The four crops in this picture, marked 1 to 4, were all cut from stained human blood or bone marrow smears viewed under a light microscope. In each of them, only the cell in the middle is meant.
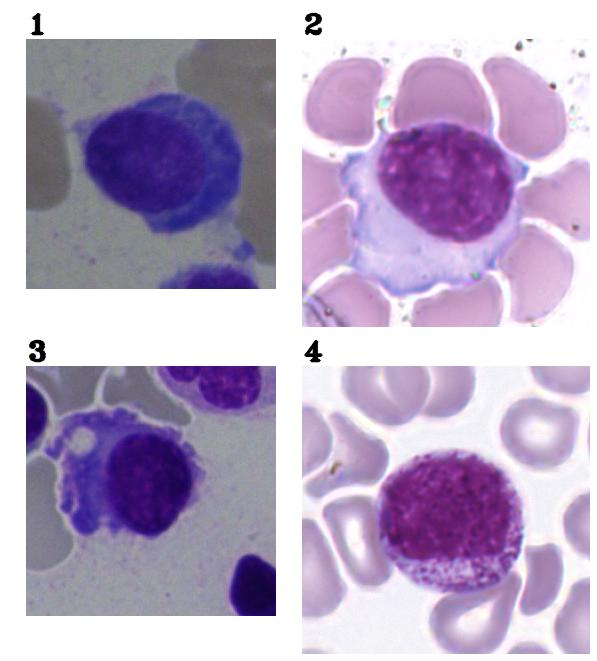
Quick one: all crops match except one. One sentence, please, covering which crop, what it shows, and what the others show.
Shown in crop 4 is a myelocyte, in contrast to the plasma cells of all the other crops.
